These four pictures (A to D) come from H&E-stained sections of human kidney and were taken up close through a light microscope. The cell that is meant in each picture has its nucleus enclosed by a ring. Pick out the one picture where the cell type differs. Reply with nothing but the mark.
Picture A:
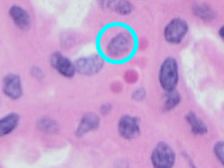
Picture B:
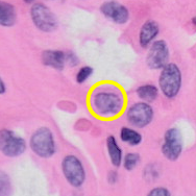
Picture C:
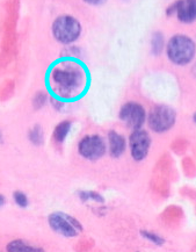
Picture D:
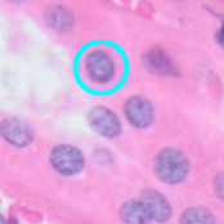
D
